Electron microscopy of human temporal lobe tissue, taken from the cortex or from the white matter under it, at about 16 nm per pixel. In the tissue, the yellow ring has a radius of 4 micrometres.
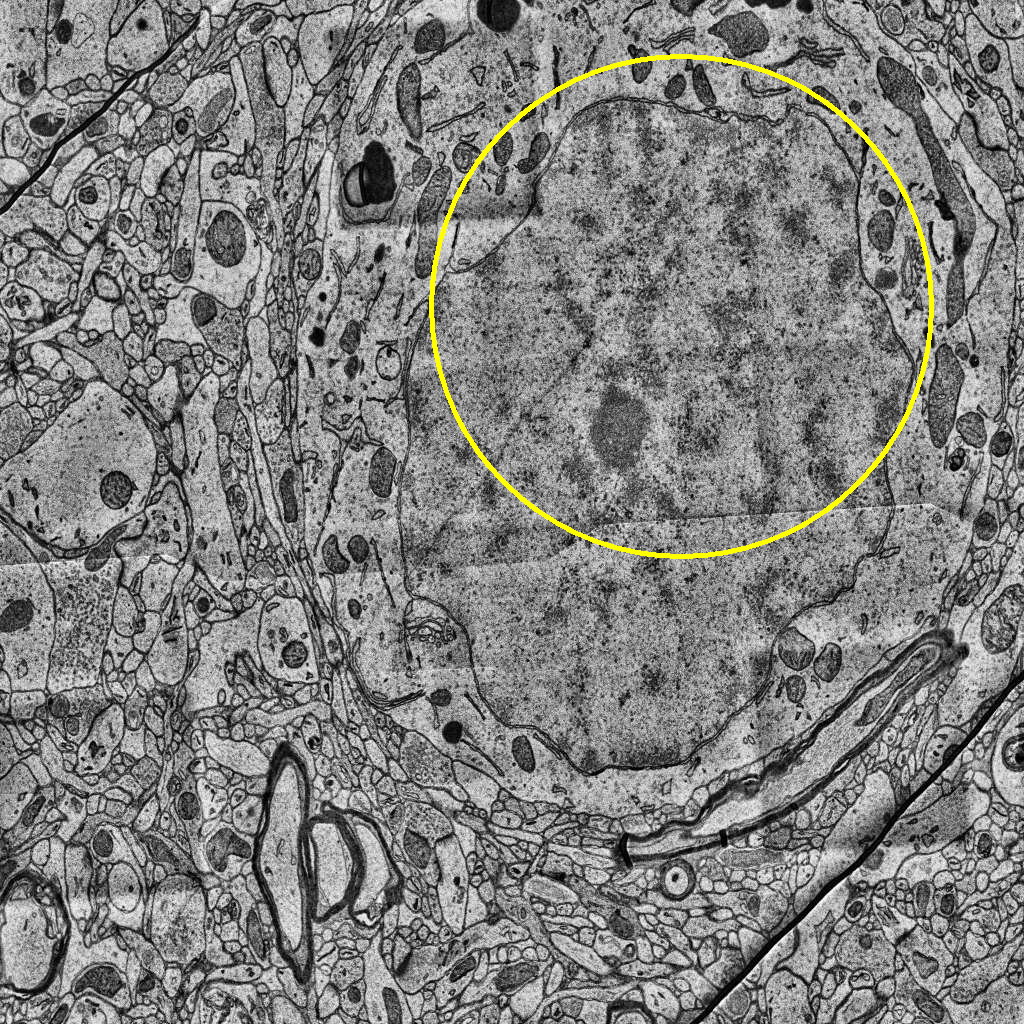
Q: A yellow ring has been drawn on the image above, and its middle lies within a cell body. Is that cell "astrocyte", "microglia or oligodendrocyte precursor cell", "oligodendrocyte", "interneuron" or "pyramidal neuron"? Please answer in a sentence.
The ring's middle lies in the cell body of an interneuron.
